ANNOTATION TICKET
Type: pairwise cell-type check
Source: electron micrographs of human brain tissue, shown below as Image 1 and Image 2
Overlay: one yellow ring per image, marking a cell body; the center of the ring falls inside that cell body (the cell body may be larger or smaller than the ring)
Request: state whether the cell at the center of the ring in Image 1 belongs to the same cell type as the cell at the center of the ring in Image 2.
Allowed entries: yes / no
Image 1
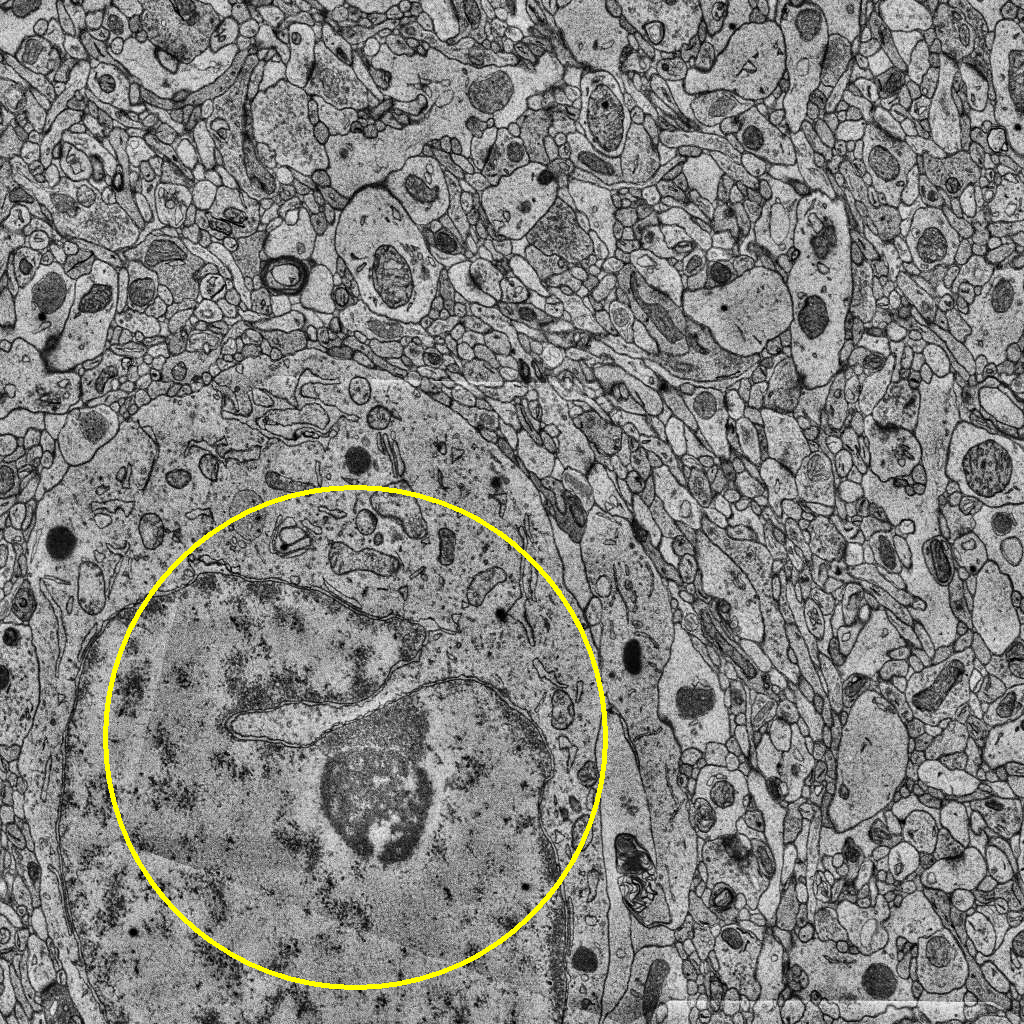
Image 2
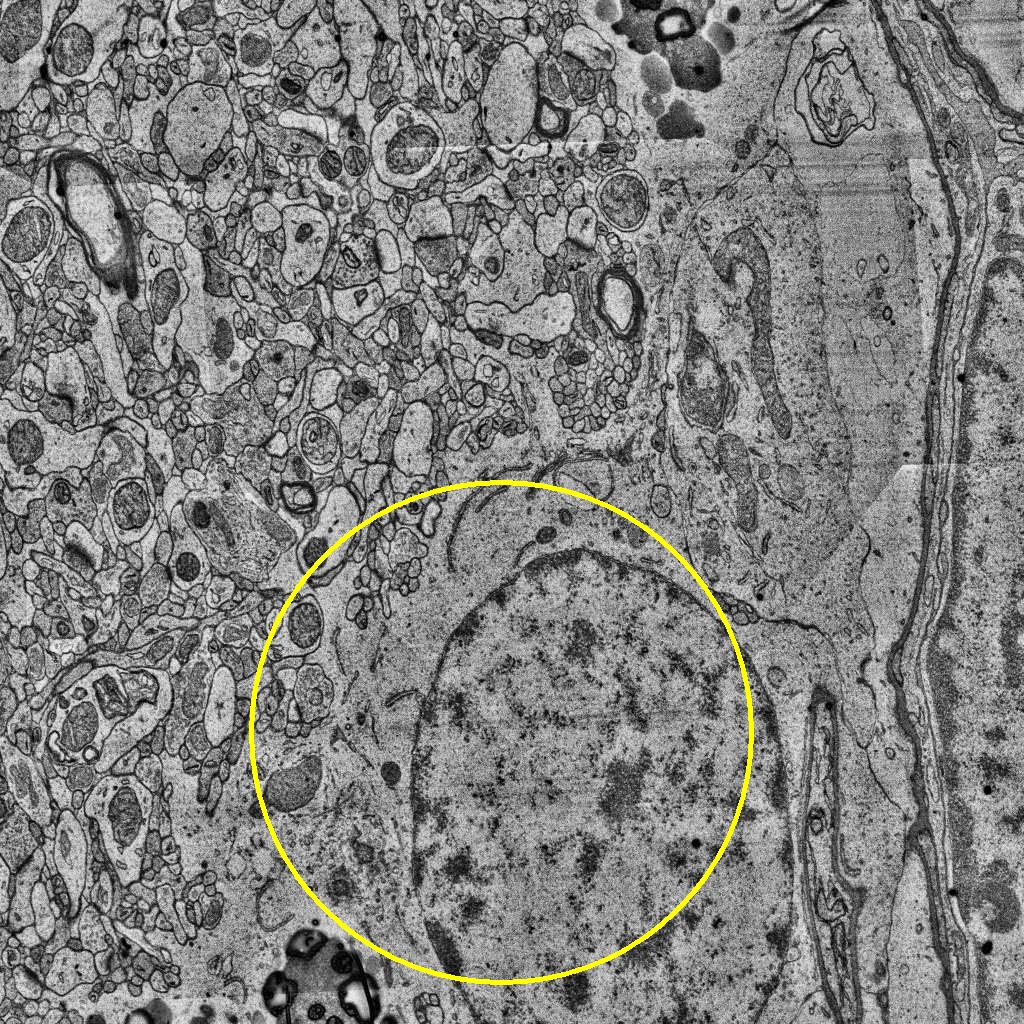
no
